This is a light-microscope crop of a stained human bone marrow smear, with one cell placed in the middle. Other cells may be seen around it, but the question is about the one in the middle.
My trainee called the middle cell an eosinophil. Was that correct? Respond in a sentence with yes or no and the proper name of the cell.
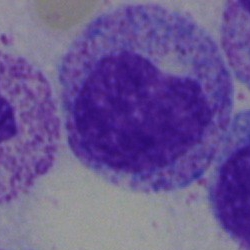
No, the cell placed in the centre is a myelocyte and is not an eosinophil.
